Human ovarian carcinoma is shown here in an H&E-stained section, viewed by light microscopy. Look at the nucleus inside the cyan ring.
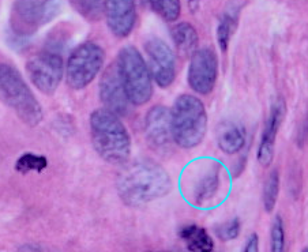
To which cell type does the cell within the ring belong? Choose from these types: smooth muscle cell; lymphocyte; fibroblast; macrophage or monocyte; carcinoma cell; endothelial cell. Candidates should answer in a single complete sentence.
Cell type answer for this item: the cell within the ring is a fibroblast.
